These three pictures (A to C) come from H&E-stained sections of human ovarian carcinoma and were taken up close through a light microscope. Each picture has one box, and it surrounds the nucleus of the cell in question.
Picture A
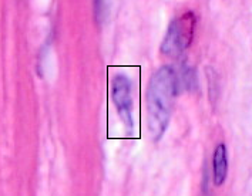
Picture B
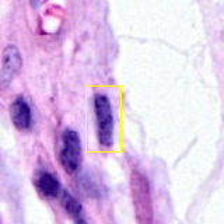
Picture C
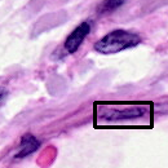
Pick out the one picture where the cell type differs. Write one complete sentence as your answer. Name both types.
All pictures except C show “macrophages or monocytes”; picture C shows an endothelial cell.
